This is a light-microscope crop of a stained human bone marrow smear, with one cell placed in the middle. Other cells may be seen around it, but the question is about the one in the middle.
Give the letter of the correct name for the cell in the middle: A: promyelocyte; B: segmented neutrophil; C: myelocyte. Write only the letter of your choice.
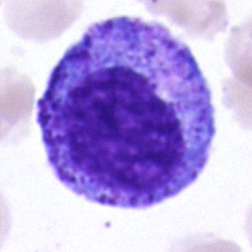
A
